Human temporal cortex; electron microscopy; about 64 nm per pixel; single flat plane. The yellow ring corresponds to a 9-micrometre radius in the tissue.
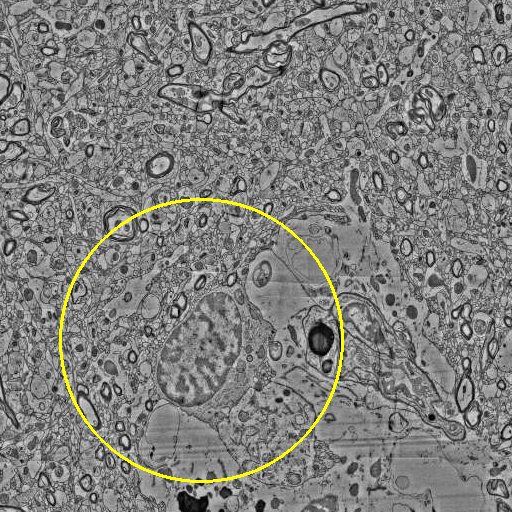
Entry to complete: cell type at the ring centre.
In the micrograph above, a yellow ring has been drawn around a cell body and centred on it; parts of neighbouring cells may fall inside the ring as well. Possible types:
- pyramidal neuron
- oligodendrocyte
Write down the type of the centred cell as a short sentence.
The ring is centred on an oligodendrocyte.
